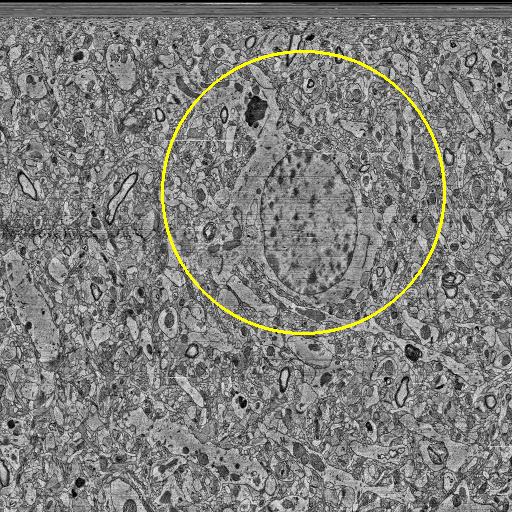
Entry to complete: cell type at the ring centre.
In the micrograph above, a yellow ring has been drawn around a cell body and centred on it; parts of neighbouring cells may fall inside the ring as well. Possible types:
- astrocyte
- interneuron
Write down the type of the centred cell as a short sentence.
The ring is centred on an astrocyte.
